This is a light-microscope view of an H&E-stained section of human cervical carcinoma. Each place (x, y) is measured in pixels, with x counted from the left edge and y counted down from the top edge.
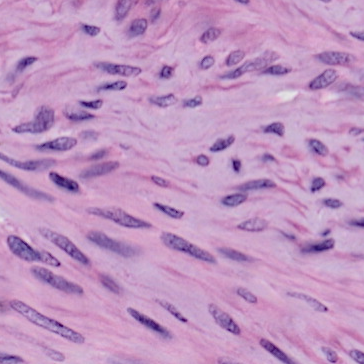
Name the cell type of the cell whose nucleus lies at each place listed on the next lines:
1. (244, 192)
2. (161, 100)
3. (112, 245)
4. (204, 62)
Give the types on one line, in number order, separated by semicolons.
smooth muscle cell; smooth muscle cell; fibroblast; smooth muscle cell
